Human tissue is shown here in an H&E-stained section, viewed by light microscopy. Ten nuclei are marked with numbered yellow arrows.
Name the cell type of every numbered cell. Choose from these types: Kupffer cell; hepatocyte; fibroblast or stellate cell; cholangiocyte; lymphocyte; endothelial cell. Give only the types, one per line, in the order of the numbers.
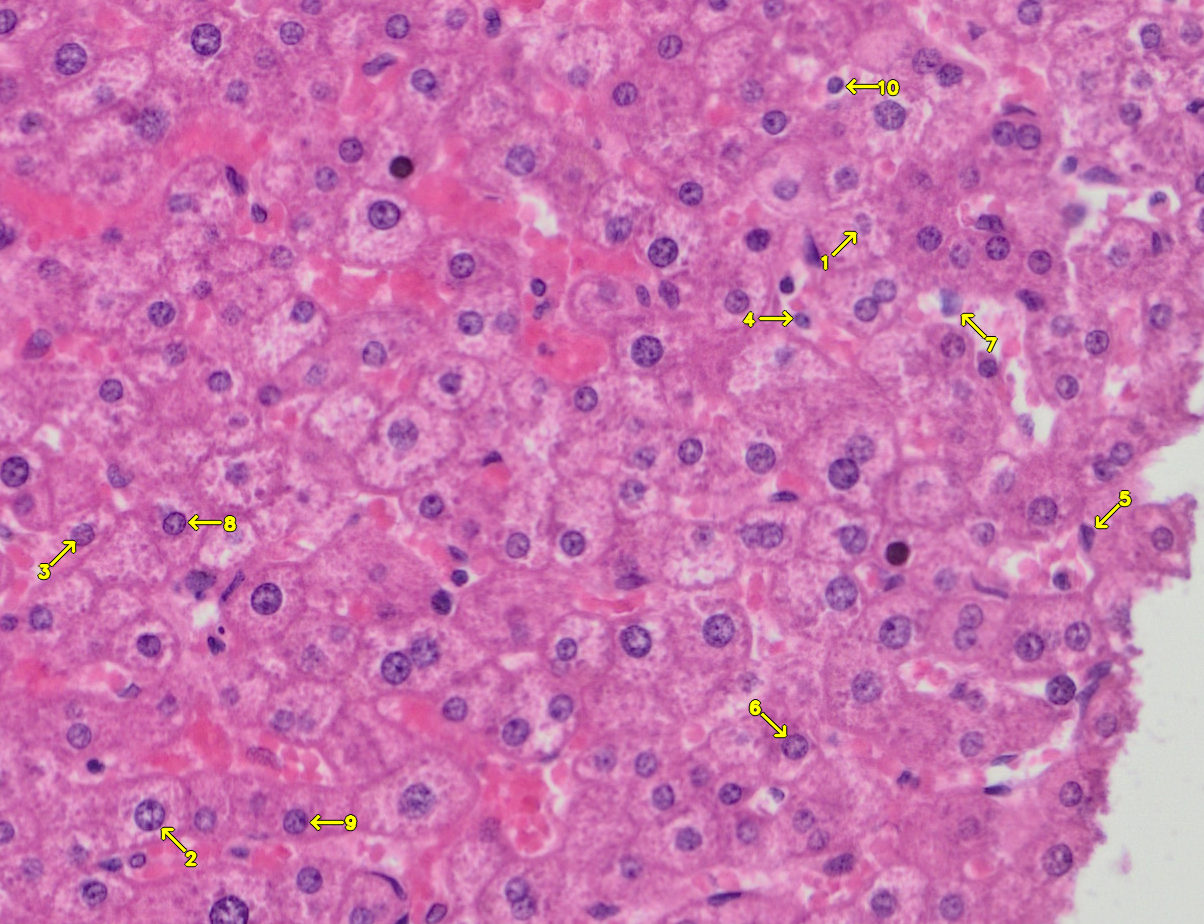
hepatocyte
hepatocyte
hepatocyte
lymphocyte
endothelial cell
hepatocyte
endothelial cell
hepatocyte
hepatocyte
lymphocyte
